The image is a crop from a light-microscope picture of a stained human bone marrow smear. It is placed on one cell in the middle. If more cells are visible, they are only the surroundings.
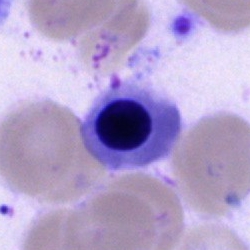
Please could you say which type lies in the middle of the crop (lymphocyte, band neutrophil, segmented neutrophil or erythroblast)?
erythroblast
